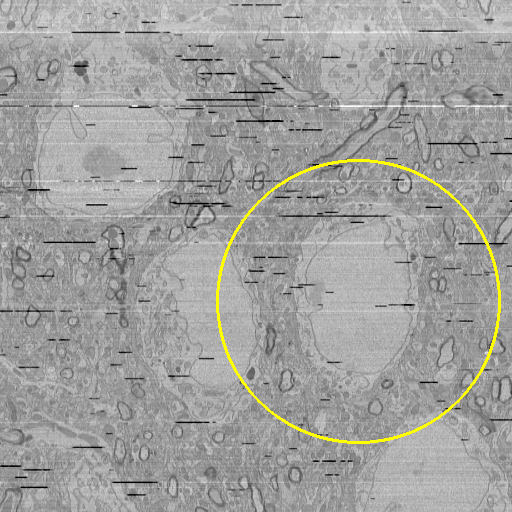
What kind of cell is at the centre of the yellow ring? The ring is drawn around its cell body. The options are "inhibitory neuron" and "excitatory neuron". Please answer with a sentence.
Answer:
The yellow ring marks the cell body of an excitatory neuron.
